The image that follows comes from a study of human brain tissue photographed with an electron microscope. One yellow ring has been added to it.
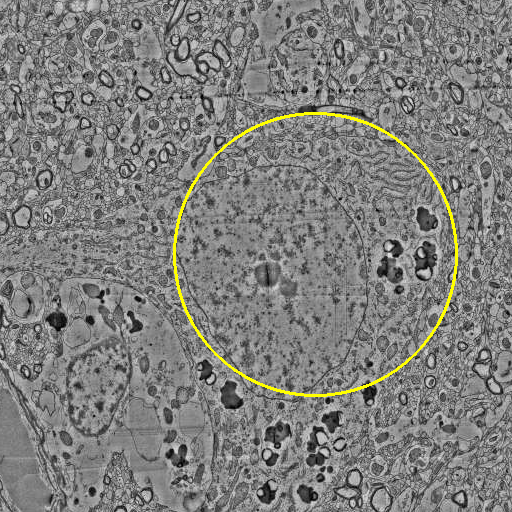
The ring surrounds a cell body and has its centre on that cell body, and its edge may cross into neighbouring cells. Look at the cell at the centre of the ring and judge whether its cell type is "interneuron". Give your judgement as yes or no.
no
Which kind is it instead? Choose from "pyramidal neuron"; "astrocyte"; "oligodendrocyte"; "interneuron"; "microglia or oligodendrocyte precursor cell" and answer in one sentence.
The cell ringed in the picture is a pyramidal neuron.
